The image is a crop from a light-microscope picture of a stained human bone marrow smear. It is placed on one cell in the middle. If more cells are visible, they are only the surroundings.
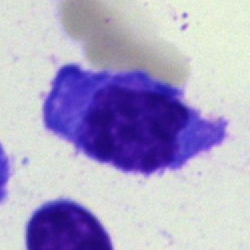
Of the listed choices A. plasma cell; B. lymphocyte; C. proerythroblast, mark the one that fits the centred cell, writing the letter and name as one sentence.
Of the choices given, option A is right, as the central cell is a plasma cell.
